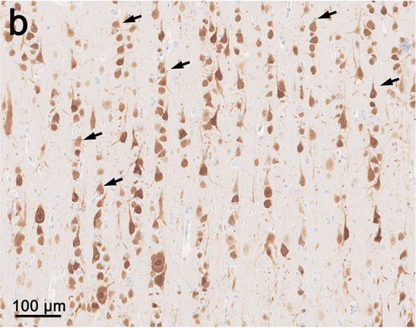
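This is neocortex in which the neurons, stained brown, are aligned in narrow vertical columns. Many of the neurons are pyramidal in shape, with a tapering apical process pointing toward the top of the image. The brown stain fills the cell bodies and nuclei, and a few larger neurons stand out among smaller ones. Between the columns lies pale neuropil with small blue nuclei of non-neuronal cells.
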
